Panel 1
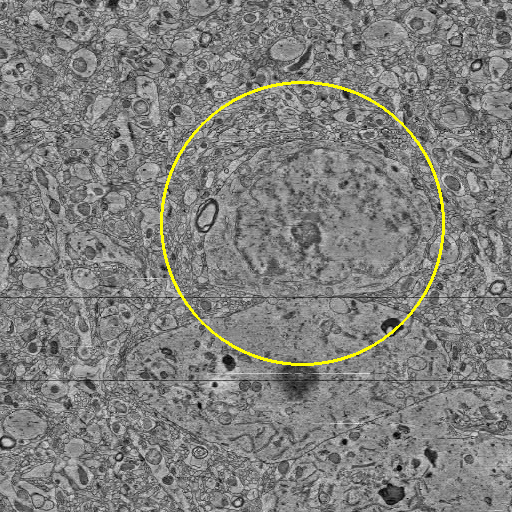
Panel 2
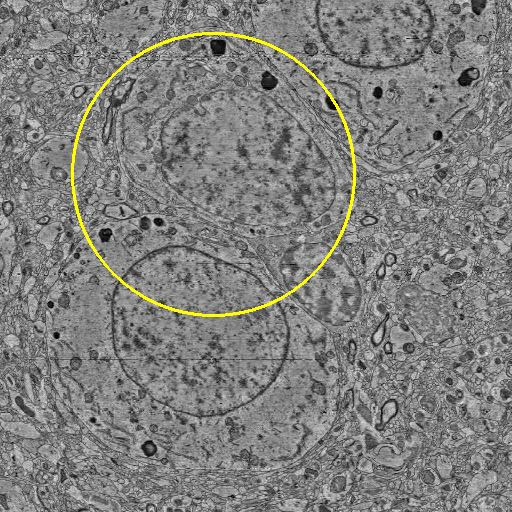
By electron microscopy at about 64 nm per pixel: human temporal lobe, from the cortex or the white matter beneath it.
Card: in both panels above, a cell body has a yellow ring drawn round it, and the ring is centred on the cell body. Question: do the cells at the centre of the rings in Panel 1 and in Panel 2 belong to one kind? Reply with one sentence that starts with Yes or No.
Yes, the cells centred in the rings of Panel 1 and Panel 2 are one kind of cell.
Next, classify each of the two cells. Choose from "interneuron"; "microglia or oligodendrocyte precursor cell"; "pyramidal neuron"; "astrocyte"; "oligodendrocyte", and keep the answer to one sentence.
Each cell, in the first picture and the second, is an interneuron.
